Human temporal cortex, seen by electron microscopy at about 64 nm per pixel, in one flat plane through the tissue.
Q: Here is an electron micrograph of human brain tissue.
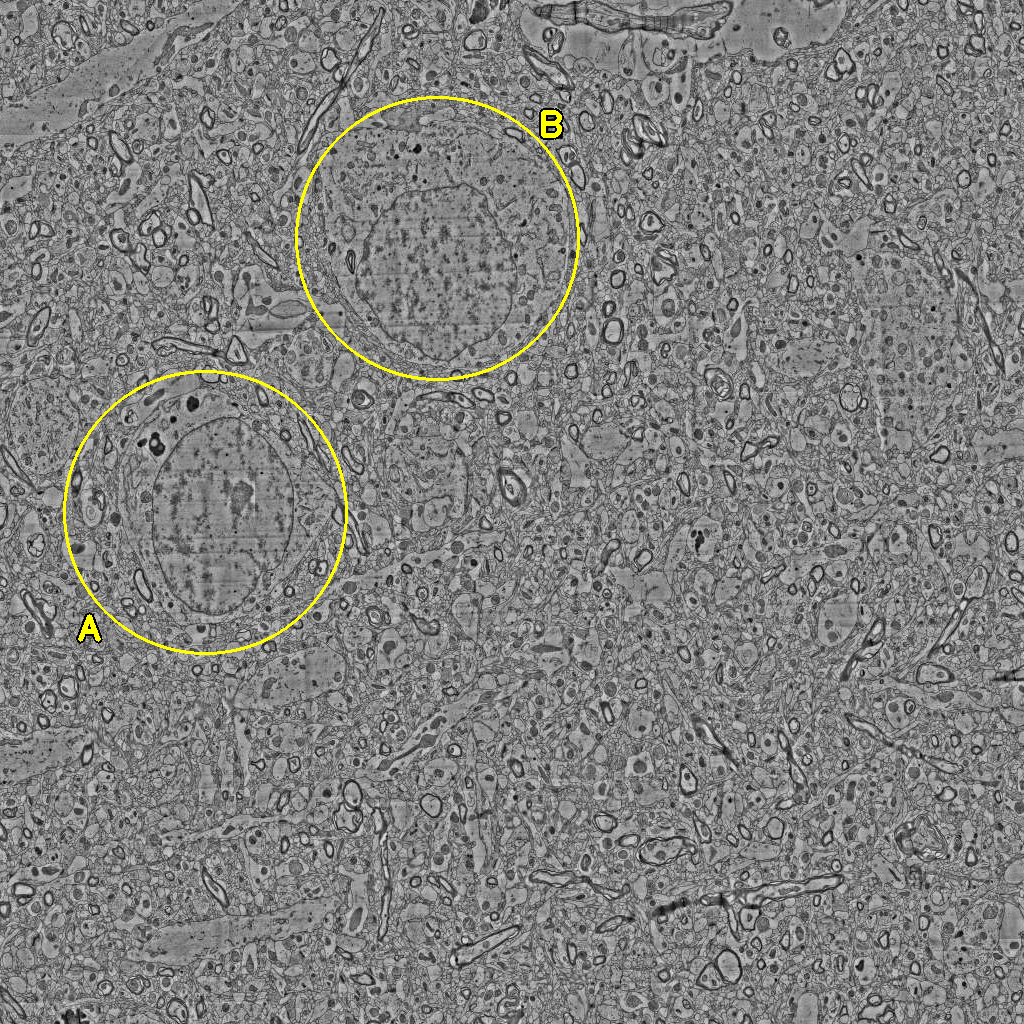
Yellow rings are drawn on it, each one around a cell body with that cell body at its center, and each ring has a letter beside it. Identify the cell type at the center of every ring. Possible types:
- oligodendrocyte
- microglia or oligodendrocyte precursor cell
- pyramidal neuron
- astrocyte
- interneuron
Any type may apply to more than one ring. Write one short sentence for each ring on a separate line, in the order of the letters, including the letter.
Centered in ring A is a pyramidal neuron.
Centered in ring B is a pyramidal neuron.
